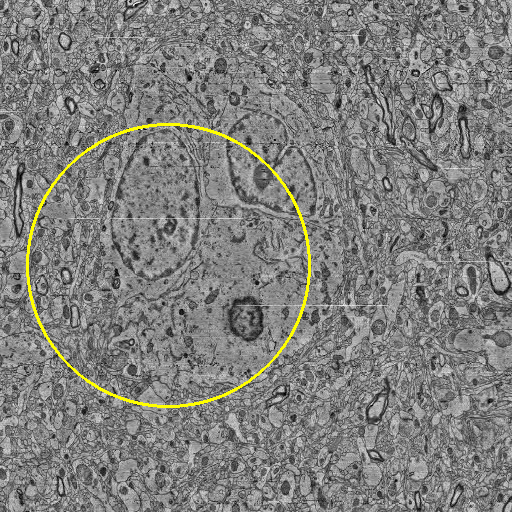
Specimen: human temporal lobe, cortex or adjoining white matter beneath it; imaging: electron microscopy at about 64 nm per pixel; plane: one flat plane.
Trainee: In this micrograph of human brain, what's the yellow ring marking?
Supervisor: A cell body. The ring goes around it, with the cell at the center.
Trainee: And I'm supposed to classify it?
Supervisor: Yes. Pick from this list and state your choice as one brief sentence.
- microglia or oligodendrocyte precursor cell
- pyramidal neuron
The cell at the ring's center is a microglial cell or oligodendrocyte precursor cell.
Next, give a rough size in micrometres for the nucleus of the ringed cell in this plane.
Clearly longer than it is wide in this plane, the nucleus measures roughly 10 by 6 micrometres.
